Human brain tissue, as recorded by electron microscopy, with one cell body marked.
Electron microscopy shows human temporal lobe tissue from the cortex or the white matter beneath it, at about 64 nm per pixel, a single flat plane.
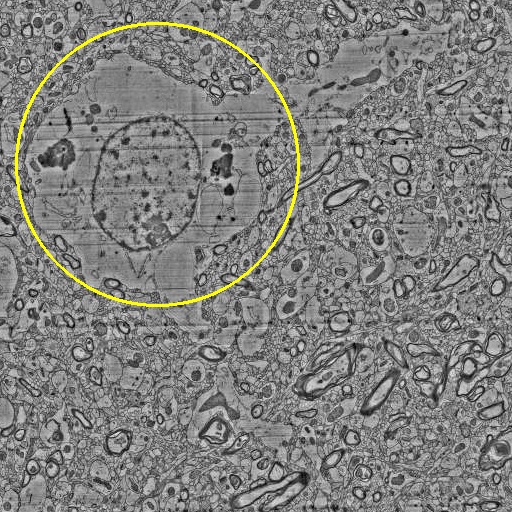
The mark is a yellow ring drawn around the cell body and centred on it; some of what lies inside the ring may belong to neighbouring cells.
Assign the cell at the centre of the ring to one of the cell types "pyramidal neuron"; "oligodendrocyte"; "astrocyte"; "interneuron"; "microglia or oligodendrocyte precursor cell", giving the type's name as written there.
astrocyte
